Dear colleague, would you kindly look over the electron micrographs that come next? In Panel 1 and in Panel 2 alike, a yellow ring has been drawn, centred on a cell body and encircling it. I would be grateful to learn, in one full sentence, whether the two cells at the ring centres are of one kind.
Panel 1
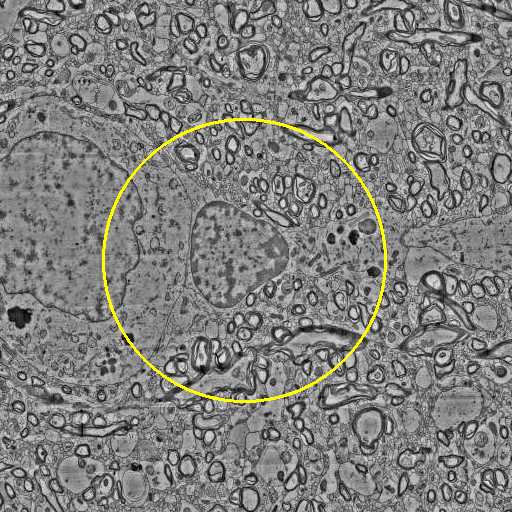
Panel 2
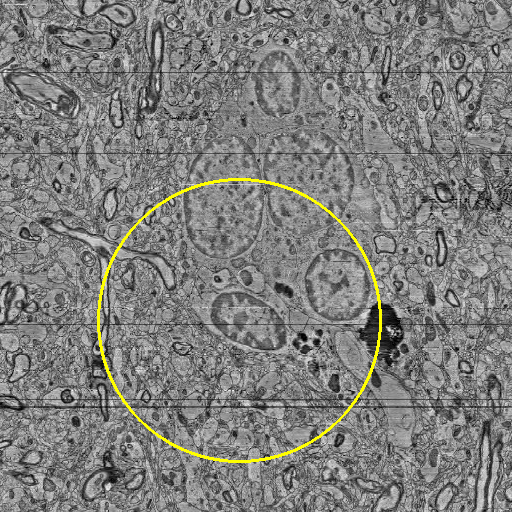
Yes, the cells in the middle of the rings in the two panels are of one kind.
